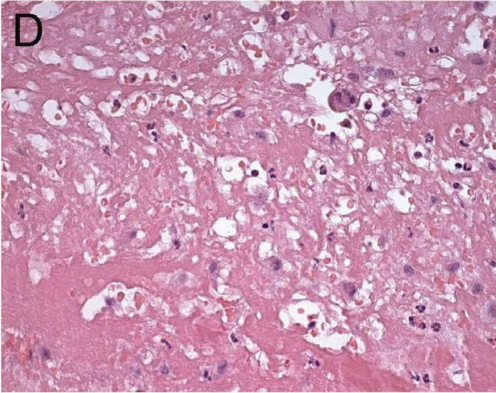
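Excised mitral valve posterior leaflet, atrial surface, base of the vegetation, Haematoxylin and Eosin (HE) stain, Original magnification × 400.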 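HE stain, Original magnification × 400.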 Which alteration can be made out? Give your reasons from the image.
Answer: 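Broad bands of homogeneous, glassy, deep pink material. Vacuolated areas with scattered cells lie between the pink bands.
Answer: Fibrinoid and hyaline changes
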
